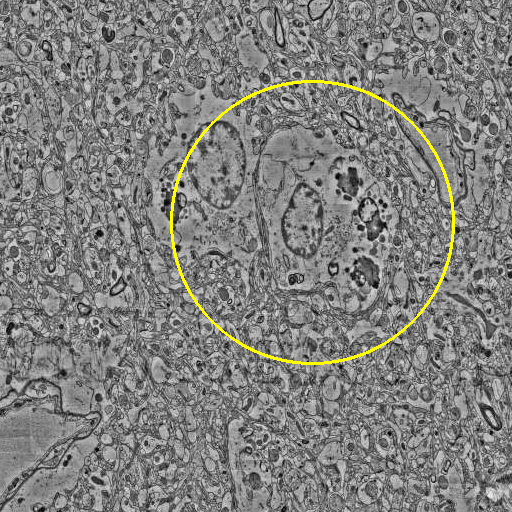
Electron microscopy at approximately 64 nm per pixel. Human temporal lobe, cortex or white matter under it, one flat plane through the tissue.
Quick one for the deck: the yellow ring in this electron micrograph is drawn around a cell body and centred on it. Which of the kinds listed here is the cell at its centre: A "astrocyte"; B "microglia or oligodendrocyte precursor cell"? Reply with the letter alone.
A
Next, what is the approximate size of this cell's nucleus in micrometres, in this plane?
The nucleus has a long axis of about 5 micrometres and a short axis of about 3 micrometres in this plane.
